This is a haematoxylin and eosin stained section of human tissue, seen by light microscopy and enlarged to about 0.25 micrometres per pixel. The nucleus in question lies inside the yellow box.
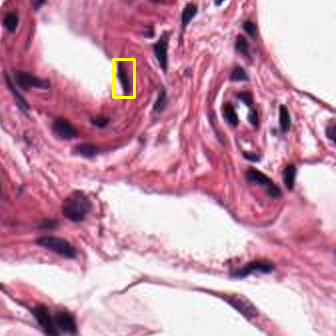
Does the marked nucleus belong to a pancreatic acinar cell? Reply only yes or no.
no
